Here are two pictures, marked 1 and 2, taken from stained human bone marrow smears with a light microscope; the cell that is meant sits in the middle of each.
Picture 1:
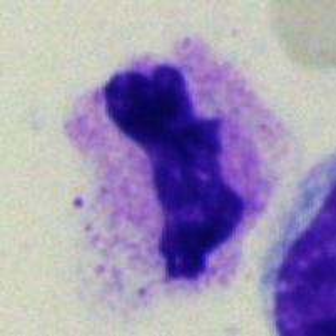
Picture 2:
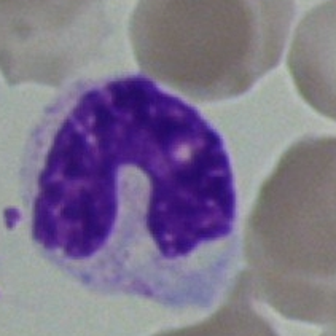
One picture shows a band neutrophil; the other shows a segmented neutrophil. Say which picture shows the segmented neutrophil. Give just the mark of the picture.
1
